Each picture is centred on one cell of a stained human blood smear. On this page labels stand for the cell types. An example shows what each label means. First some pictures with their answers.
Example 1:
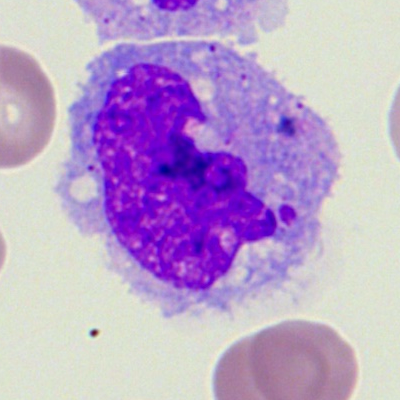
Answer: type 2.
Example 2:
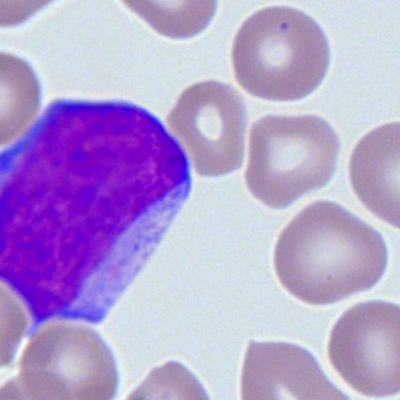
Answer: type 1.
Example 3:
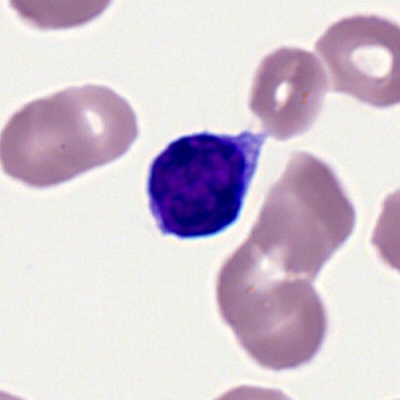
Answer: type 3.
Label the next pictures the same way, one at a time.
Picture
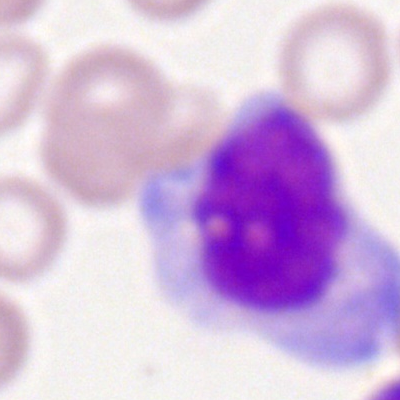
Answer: type 2.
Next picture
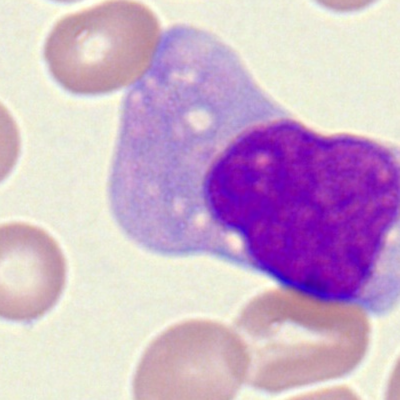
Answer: type 2.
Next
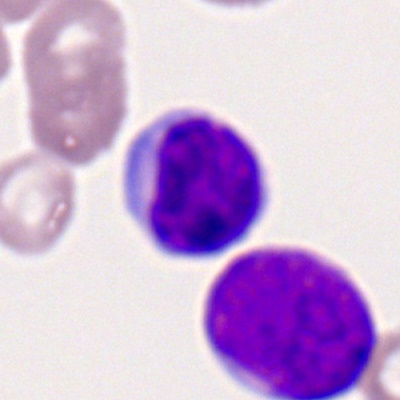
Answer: type 3.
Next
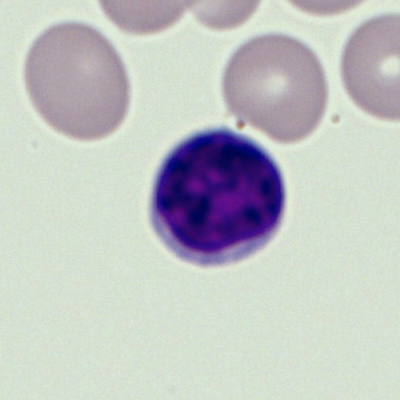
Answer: type 3.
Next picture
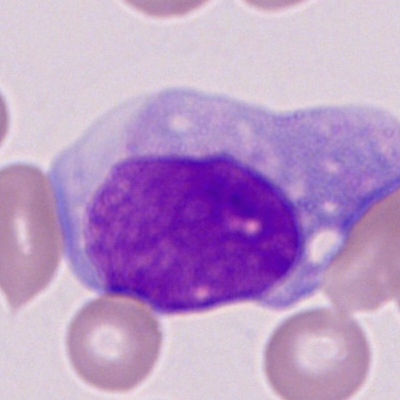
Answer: type 2.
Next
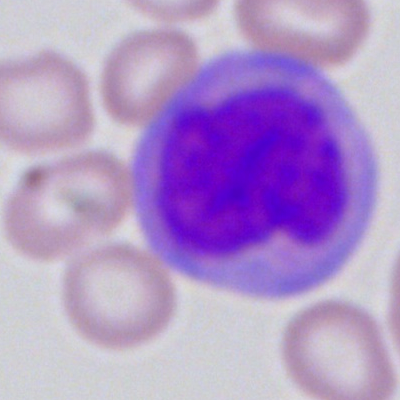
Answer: type 2.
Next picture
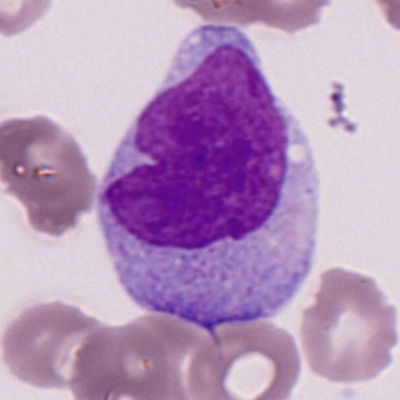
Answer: type 2.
